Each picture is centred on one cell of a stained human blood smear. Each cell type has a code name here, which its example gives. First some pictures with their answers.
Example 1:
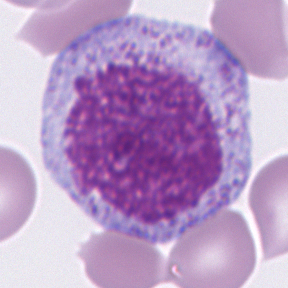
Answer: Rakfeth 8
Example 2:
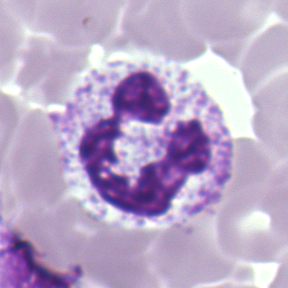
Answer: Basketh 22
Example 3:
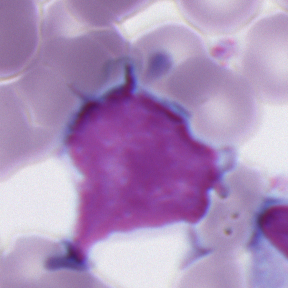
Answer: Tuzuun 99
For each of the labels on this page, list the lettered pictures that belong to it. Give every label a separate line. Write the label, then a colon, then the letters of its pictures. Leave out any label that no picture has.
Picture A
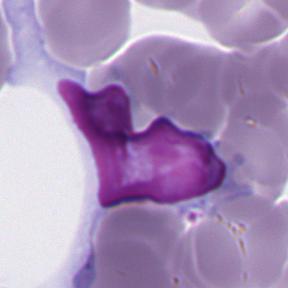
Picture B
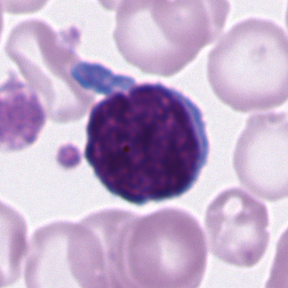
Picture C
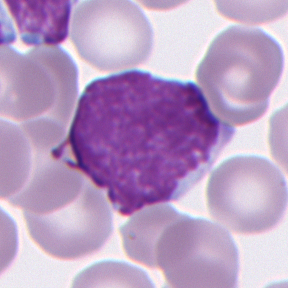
Tuzuun 99: A, B, C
